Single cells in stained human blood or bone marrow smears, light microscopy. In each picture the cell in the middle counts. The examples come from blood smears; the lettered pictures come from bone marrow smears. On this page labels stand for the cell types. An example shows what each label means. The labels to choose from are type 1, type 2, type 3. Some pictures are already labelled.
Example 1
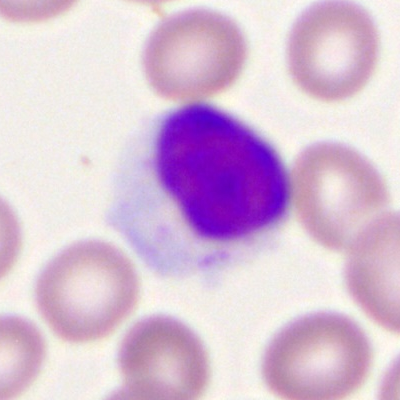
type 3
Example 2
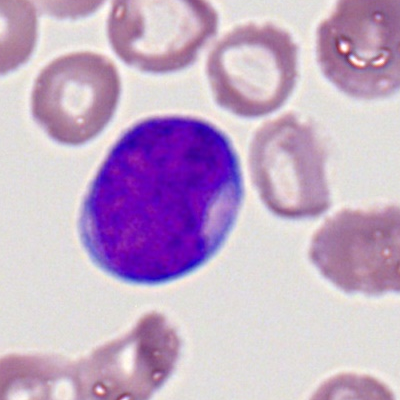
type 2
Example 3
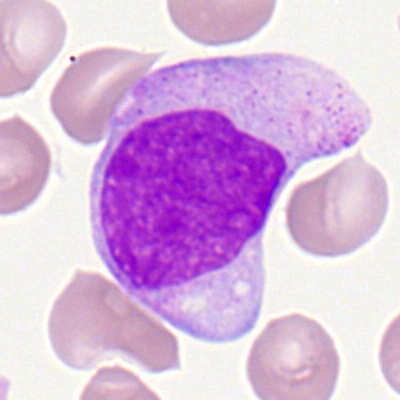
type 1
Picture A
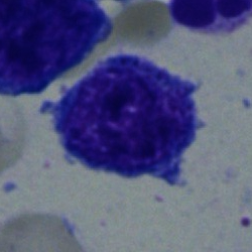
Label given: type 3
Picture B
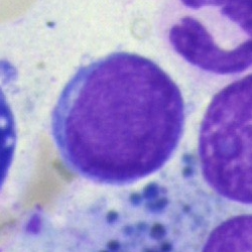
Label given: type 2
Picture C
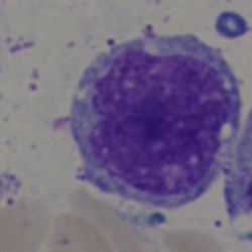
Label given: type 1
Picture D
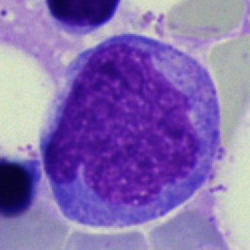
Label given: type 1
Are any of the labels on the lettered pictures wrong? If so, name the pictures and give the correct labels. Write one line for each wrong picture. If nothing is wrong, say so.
A: change type 3 to type 2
